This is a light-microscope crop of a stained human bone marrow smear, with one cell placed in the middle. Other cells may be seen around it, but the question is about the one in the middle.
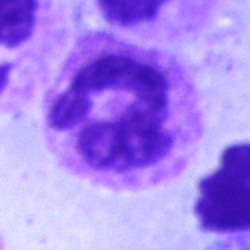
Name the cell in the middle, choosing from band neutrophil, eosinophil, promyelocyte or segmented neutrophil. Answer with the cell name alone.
segmented neutrophil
